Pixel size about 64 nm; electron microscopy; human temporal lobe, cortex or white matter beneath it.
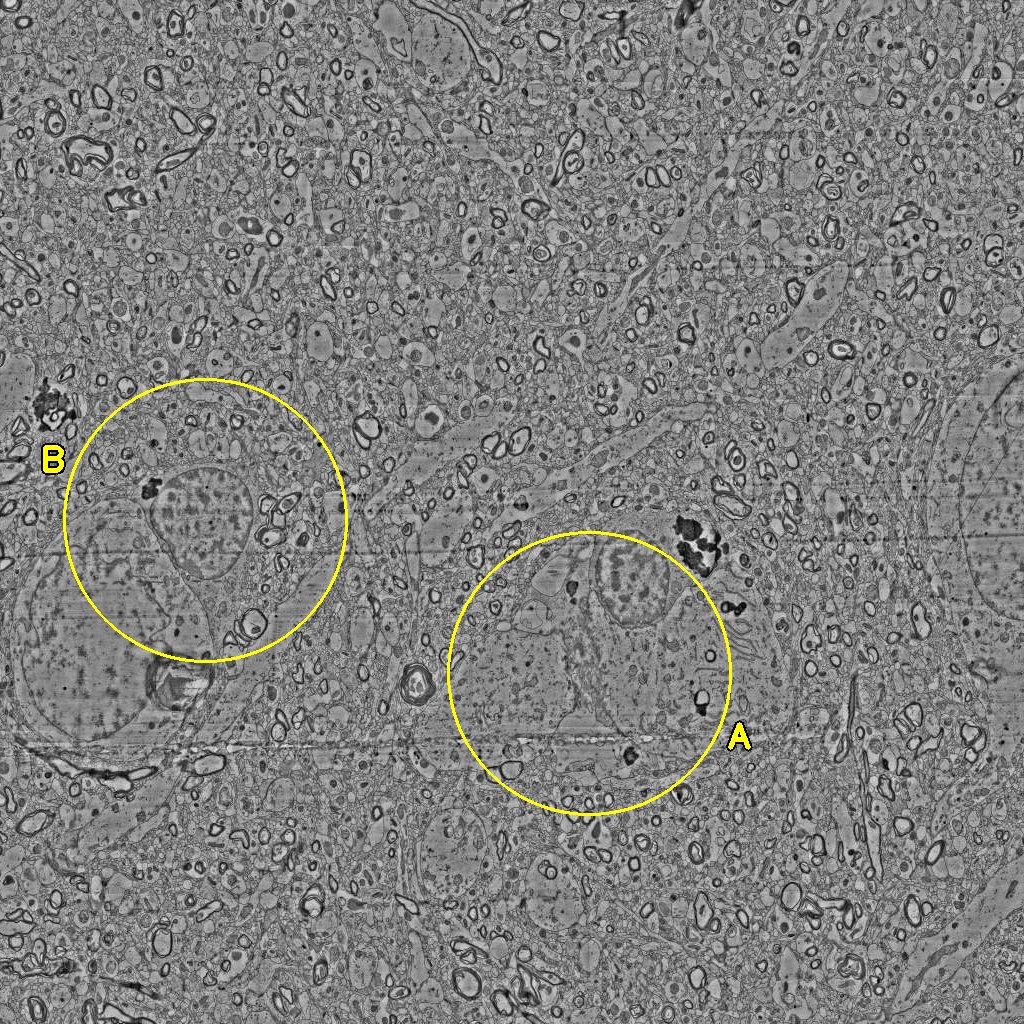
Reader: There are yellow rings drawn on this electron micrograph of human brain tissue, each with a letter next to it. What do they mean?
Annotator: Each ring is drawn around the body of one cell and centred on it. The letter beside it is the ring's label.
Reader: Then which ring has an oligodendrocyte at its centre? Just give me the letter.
B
